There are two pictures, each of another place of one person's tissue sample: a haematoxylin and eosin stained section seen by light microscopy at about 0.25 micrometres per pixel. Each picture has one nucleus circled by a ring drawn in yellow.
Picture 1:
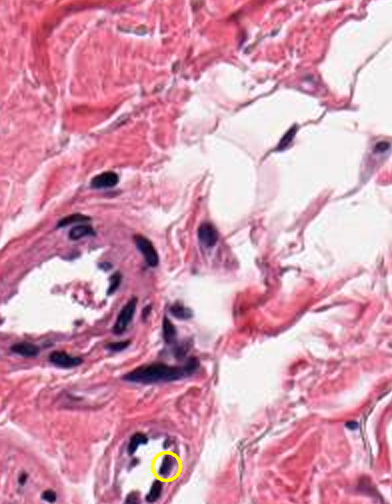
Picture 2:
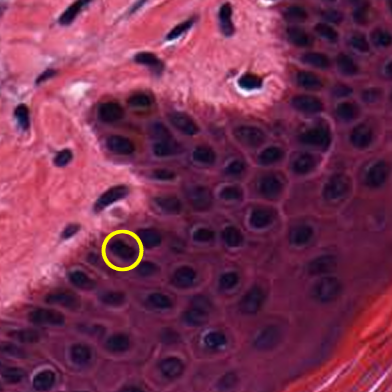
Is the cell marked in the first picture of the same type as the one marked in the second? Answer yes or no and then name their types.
No, the first is an endothelial cell and the second a keratinocyte.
